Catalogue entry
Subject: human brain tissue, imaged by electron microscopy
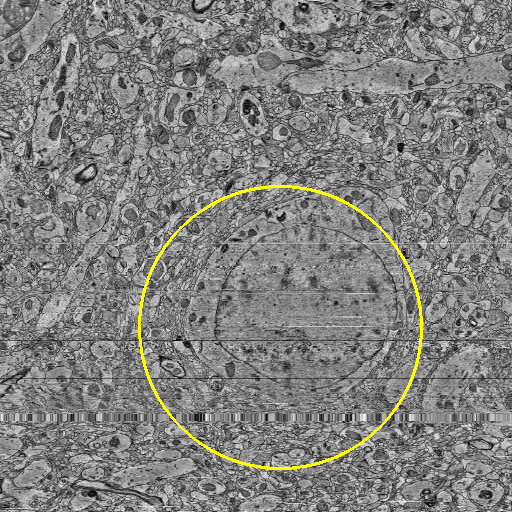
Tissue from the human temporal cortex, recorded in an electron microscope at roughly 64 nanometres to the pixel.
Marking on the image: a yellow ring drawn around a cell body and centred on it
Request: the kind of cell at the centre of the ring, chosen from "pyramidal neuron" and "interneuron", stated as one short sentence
The ring has a pyramidal neuron at its centre.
